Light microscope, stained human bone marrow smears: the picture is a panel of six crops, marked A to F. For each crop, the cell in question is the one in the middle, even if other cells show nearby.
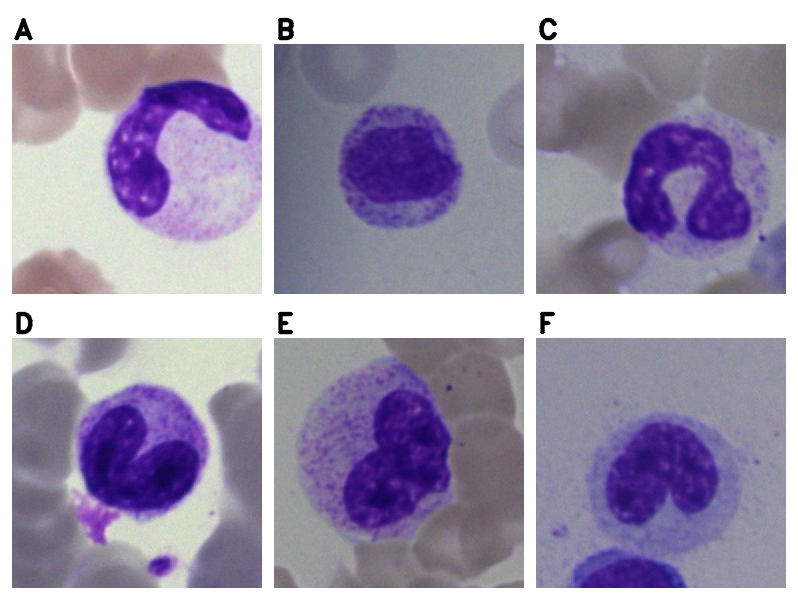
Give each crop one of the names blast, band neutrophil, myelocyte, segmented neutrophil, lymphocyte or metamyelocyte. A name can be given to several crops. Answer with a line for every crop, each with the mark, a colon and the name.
A: band neutrophil
B: myelocyte
C: segmented neutrophil
D: band neutrophil
E: metamyelocyte
F: band neutrophil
